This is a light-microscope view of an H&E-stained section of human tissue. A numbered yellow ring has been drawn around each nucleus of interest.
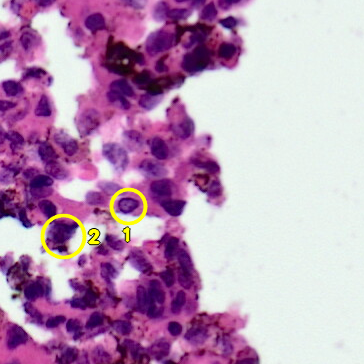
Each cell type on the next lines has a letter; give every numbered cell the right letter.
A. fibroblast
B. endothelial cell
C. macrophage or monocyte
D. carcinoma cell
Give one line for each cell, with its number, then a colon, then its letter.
1: C
2: D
